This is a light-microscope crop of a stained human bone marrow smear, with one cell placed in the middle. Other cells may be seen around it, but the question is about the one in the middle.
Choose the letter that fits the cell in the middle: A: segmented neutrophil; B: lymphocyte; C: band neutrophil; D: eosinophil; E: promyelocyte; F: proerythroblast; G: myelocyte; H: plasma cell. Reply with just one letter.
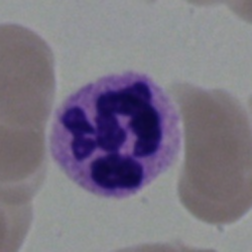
A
